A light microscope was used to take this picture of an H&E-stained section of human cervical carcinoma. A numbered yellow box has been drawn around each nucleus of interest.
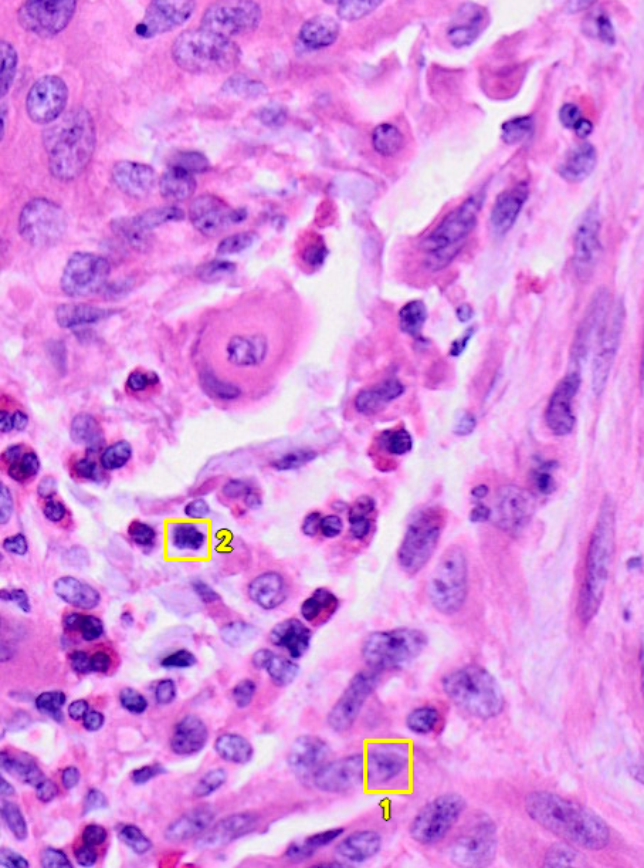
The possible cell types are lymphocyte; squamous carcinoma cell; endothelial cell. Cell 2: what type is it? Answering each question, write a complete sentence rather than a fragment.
Corresponding to a lymphocyte is the cell labelled 2.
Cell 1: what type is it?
In this section, the cell numbered 1 is an endothelial cell.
